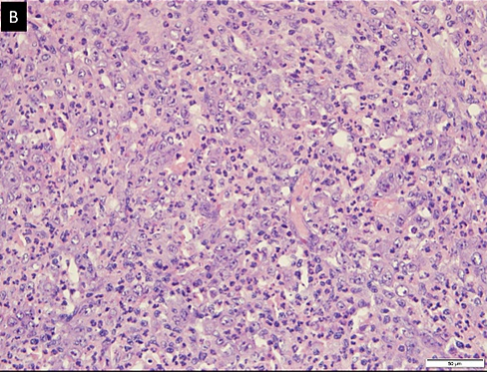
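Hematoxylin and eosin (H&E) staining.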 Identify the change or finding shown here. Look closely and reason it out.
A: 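Many small, dark, round nuclei are scattered among larger cells. Larger cells with pale nuclei and pink cytoplasm are interspersed with the small dark cells. That points to this answer: inflammatory component.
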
